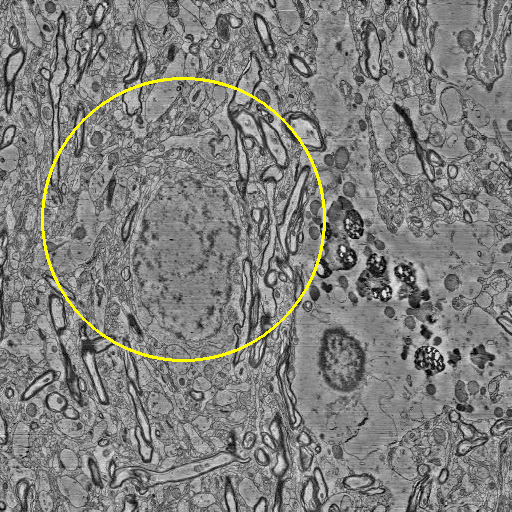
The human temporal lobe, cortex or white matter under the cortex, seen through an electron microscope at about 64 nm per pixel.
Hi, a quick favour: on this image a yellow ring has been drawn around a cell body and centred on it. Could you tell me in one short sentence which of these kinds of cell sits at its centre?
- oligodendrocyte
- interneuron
The ring is centred on an interneuron.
